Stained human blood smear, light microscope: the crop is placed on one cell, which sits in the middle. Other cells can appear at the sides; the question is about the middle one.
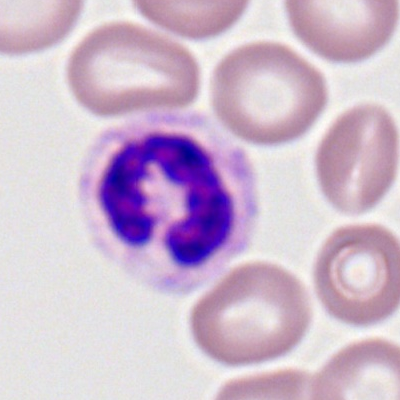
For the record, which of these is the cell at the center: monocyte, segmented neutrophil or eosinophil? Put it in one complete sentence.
The cell centered in this field of view is a segmented neutrophil.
